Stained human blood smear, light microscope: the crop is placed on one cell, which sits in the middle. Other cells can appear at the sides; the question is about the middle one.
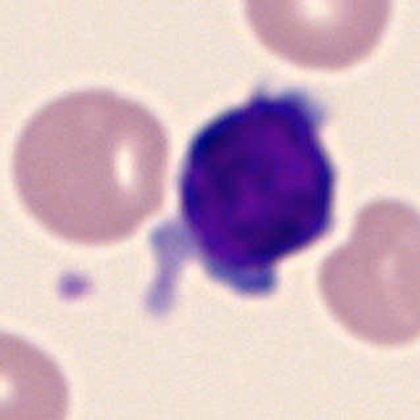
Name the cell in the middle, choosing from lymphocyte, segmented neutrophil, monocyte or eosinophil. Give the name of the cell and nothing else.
lymphocyte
